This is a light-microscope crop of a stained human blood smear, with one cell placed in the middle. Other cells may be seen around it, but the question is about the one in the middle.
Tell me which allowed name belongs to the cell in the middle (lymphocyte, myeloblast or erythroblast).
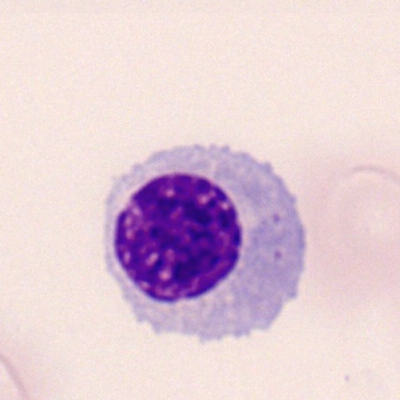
erythroblast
